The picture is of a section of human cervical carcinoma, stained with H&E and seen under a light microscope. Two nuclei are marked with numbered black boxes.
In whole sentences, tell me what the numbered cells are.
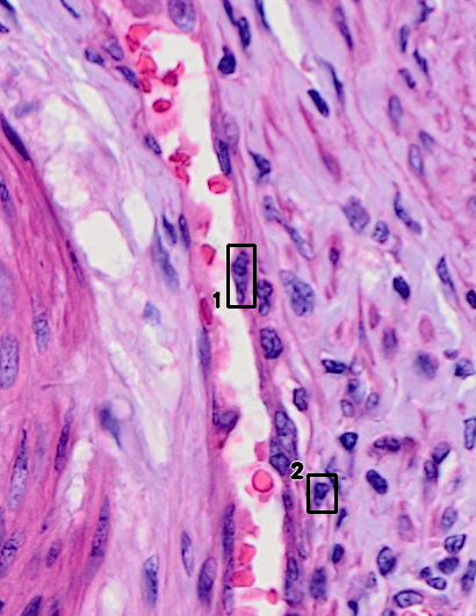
Cell 1 is an endothelial cell and cell 2 is a lymphocyte.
